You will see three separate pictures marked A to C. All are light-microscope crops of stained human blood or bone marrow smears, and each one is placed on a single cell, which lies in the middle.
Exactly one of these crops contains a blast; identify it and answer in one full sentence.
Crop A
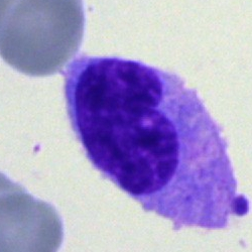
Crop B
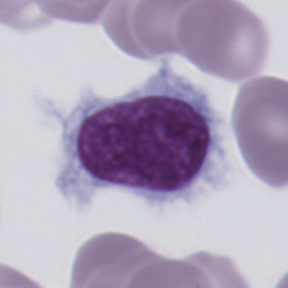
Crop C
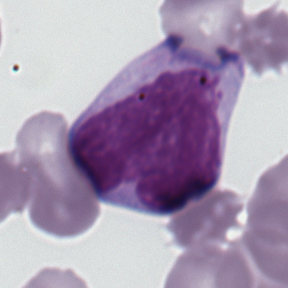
The cell at the center of crop C is the one that is a blast.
